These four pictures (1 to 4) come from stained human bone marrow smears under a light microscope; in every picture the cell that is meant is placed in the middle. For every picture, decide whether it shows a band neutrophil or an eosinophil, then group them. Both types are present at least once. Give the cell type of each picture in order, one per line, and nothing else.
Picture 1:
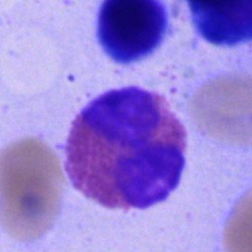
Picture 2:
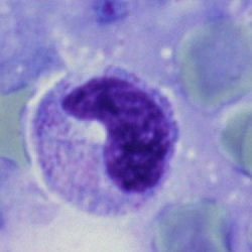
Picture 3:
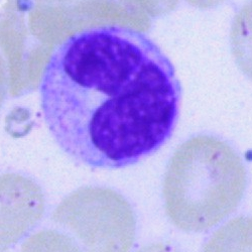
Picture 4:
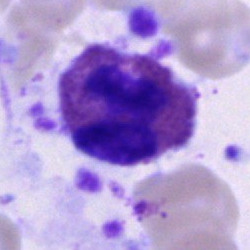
eosinophil
band neutrophil
band neutrophil
eosinophil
